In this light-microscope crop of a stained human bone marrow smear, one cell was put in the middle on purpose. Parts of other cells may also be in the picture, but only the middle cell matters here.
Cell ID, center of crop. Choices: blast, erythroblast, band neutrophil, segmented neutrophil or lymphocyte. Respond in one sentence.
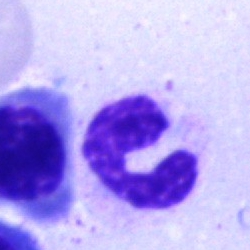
The center cell of this crop is a band neutrophil.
